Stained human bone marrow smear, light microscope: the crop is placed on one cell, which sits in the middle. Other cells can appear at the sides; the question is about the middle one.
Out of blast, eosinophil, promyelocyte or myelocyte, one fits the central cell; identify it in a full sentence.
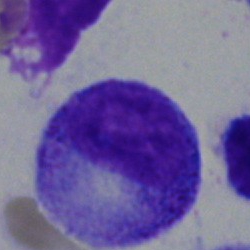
The middle of this crop is occupied by a myelocyte.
